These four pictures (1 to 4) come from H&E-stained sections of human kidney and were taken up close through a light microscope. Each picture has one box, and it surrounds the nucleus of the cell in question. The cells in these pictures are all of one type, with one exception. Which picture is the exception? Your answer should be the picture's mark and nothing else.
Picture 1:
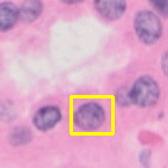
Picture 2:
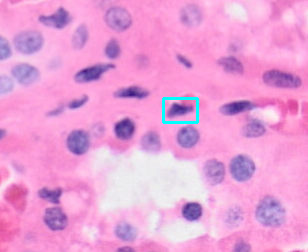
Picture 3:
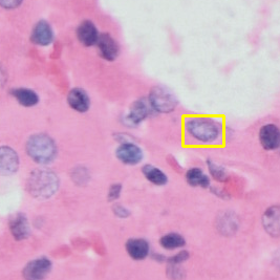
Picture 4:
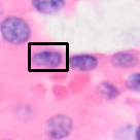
2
